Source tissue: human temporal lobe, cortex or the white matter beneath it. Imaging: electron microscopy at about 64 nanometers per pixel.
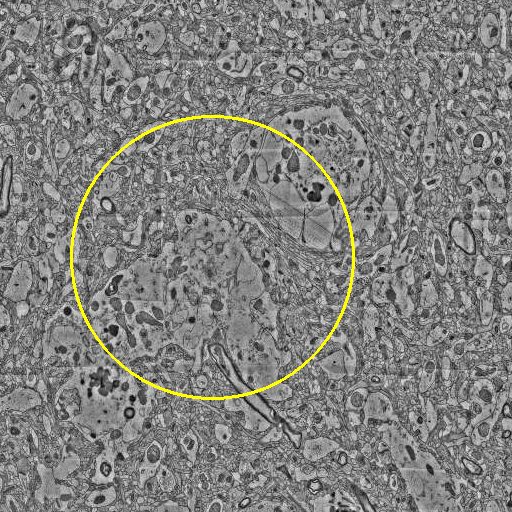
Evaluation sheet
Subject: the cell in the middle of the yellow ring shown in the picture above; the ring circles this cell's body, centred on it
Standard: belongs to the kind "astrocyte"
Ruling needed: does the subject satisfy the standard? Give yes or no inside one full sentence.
Yes, the cell in the middle of the ring in the picture above belongs to the stated kind.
